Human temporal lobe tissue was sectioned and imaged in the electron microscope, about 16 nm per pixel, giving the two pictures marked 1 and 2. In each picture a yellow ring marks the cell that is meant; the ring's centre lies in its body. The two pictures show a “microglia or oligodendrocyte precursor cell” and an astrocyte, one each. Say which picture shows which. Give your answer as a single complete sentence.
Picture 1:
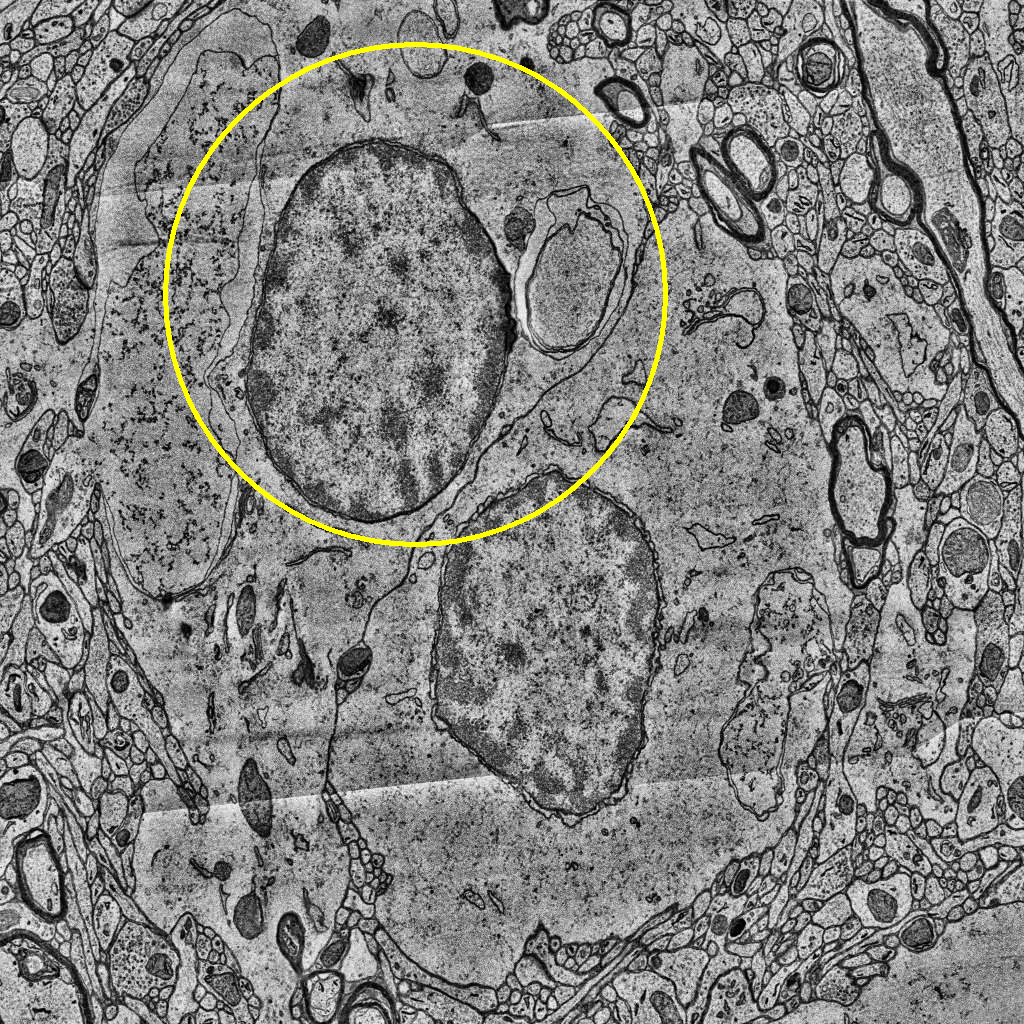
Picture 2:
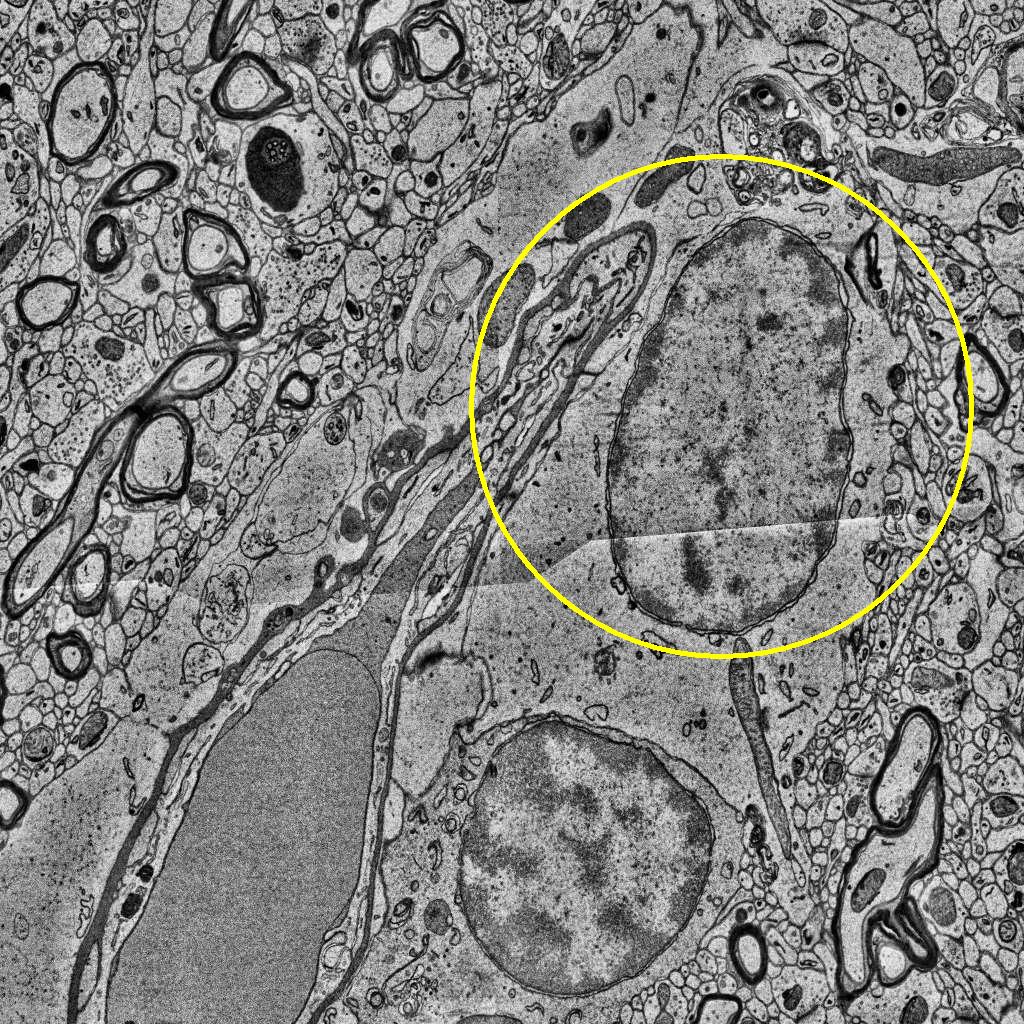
It is picture 1 that shows an astrocyte, and picture 2 that shows a “microglia or oligodendrocyte precursor cell”.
